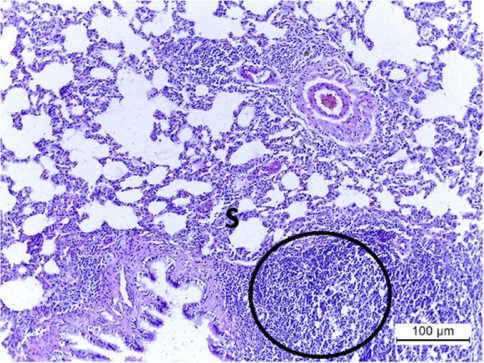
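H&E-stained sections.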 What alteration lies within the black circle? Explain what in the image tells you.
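The circle encloses a packed mass of small dark nuclei. The mass lies next to an airway wall and replaces air spaces.
Conclusion: inflammatory infiltrates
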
